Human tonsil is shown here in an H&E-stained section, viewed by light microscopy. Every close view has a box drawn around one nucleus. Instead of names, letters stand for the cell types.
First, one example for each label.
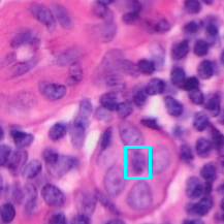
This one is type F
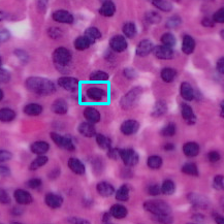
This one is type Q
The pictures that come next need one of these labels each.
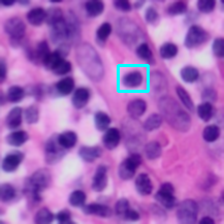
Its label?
type F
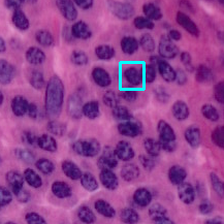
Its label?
type Q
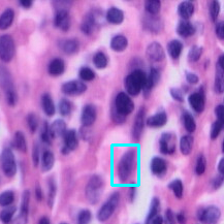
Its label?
type F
